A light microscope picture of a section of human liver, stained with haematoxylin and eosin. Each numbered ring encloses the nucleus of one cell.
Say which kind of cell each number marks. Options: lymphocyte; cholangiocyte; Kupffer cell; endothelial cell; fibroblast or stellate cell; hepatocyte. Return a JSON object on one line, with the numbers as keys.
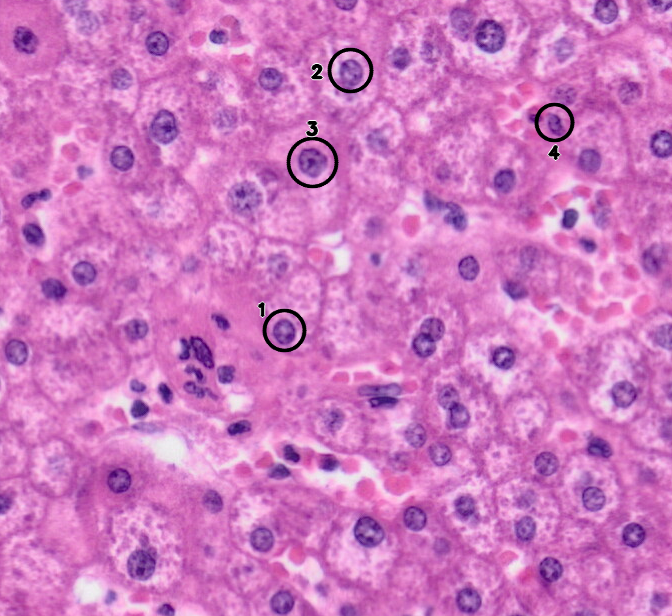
{"1": "hepatocyte", "2": "hepatocyte", "3": "hepatocyte", "4": "fibroblast or stellate cell"}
